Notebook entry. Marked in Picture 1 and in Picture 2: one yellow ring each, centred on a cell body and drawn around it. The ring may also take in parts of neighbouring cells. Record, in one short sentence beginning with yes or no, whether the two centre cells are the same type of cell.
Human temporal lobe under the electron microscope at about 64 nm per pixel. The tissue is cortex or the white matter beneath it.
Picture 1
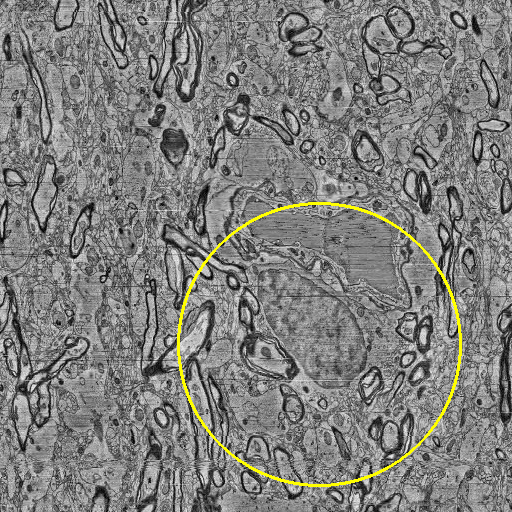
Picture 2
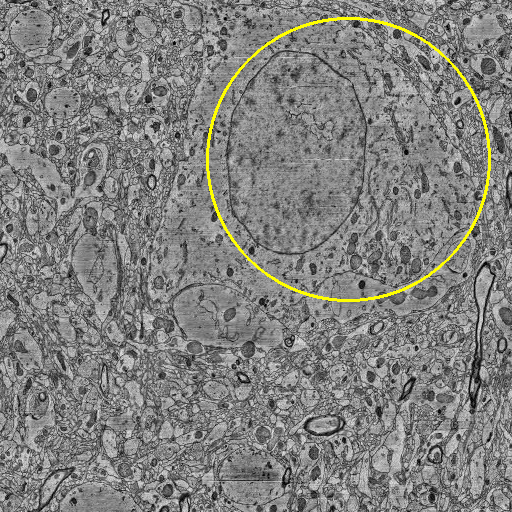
No, they are two types of cell.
